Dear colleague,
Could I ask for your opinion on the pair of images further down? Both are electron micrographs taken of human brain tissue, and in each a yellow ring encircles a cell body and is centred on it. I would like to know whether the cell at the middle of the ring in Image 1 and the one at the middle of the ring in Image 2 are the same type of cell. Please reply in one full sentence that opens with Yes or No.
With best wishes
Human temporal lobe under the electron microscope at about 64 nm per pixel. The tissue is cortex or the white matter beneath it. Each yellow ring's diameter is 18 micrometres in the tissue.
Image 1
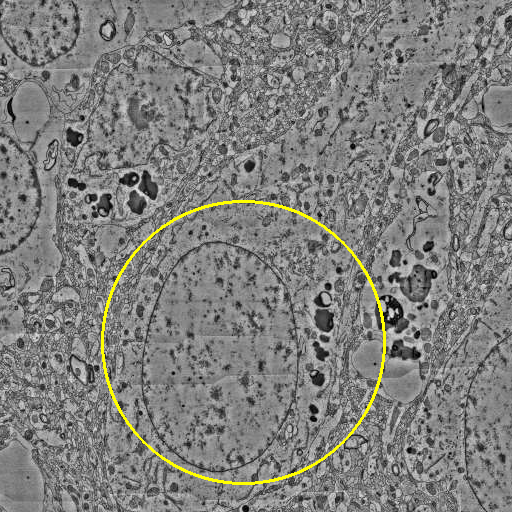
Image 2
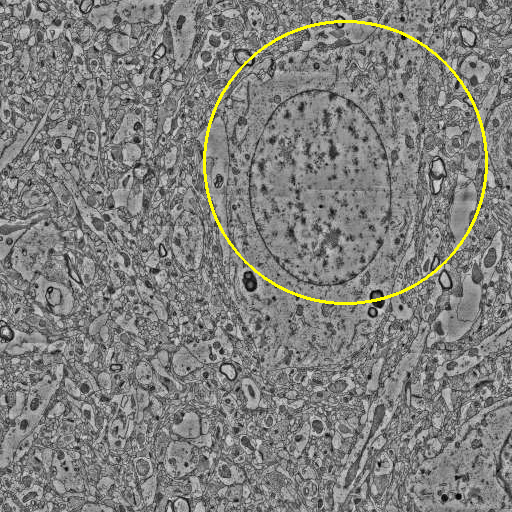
Yes, the cells at the ring centres in Image 1 and Image 2 are of one type.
